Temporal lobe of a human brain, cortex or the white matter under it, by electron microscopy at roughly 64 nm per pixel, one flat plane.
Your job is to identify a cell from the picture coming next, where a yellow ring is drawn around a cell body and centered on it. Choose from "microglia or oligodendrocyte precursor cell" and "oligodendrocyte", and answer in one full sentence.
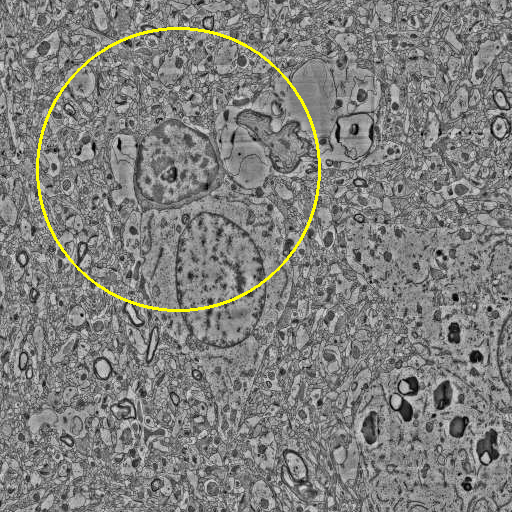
Centered in the yellow ring of the picture is the body of an oligodendrocyte.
